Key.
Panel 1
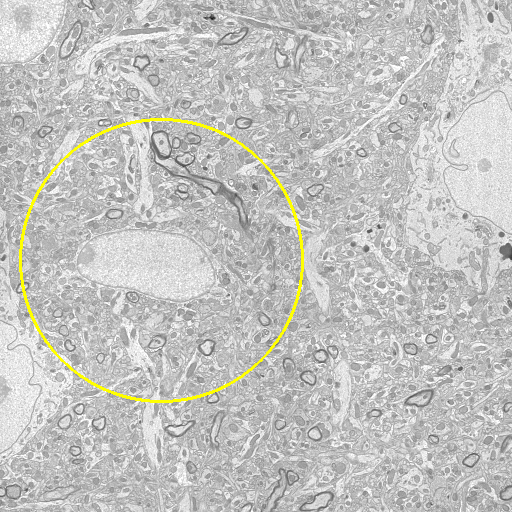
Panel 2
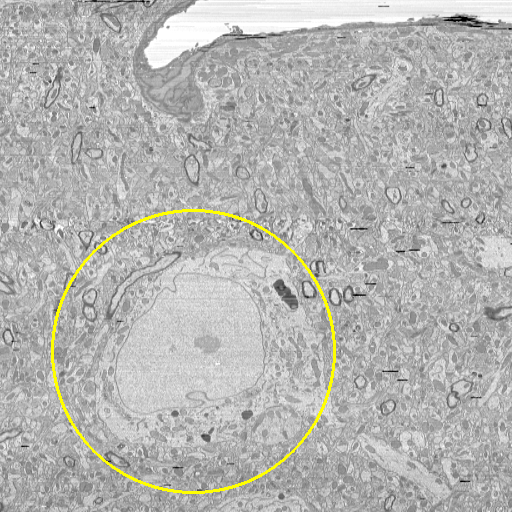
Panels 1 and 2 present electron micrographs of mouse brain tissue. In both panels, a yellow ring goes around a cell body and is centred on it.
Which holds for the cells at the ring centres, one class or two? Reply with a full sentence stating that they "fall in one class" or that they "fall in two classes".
Taken together, the ring-centre cells of the two panels fall in two classes.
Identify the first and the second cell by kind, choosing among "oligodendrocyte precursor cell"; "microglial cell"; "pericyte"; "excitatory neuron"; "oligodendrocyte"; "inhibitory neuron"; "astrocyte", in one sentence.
The one in the first picture is an astrocyte, while the one in the second is an excitatory neuron.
